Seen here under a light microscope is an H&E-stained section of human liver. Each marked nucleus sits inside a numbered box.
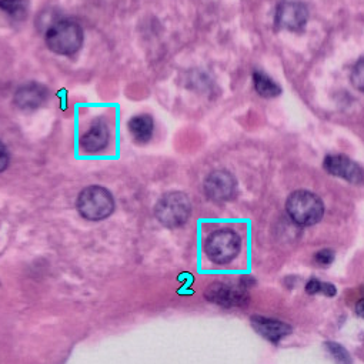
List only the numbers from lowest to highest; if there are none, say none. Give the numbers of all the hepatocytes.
2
